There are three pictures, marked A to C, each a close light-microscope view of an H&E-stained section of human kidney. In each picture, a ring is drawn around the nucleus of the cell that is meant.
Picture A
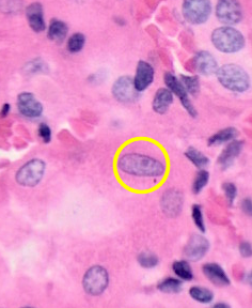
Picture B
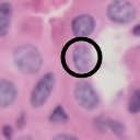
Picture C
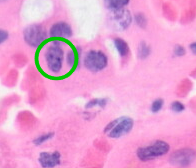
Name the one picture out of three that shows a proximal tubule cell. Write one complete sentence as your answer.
The picture with the proximal tubule cell is A.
